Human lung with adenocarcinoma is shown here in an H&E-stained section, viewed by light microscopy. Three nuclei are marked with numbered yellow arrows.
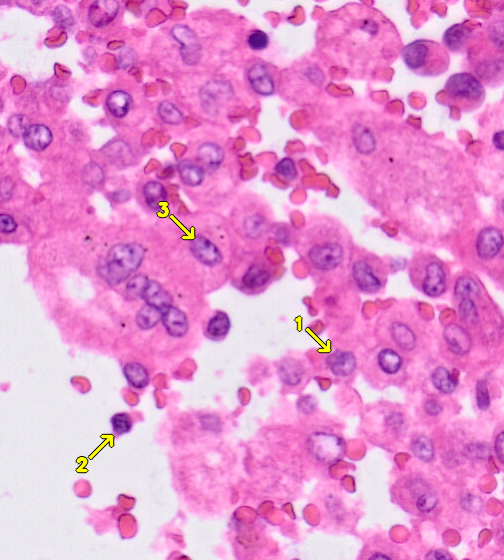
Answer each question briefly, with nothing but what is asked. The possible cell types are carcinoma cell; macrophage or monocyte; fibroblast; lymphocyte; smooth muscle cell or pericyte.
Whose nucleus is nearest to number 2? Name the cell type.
macrophage or monocyte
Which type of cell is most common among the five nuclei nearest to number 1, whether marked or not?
macrophage or monocyte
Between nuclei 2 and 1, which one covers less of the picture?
2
